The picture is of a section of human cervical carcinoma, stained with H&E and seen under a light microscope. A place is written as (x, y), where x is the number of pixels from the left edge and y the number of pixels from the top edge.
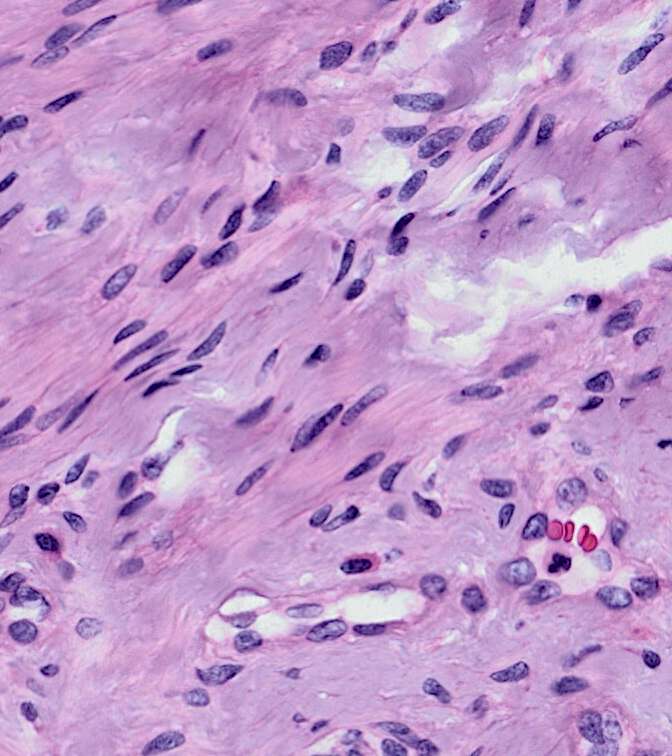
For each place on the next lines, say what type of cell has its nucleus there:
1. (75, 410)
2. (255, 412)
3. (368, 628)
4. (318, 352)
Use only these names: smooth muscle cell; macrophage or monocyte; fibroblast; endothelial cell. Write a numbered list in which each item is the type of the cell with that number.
1. fibroblast
2. fibroblast
3. endothelial cell
4. fibroblast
